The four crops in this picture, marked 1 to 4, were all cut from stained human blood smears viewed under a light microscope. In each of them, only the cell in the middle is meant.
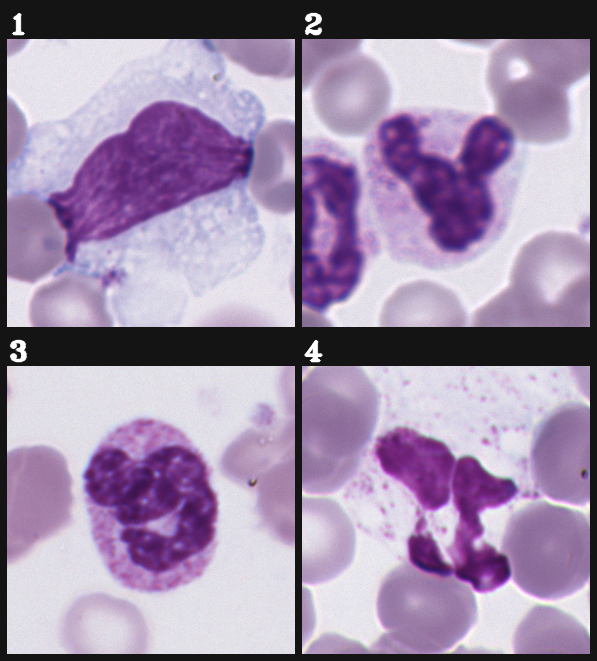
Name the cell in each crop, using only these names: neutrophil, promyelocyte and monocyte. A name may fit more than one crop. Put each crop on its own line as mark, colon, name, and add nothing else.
1: monocyte
2: neutrophil
3: neutrophil
4: neutrophil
